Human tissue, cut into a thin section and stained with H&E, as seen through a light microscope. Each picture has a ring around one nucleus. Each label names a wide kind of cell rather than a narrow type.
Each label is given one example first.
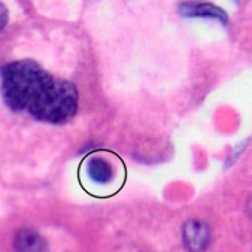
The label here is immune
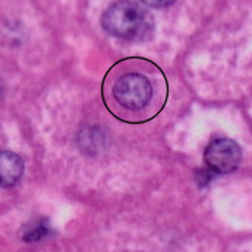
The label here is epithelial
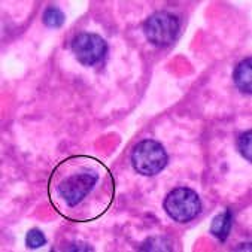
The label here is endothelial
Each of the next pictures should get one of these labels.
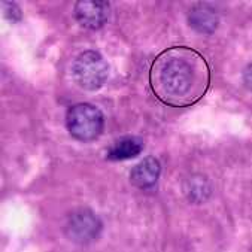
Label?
epithelial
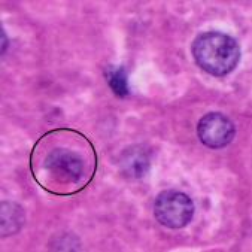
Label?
endothelial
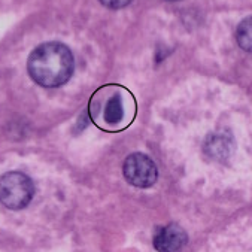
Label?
immune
